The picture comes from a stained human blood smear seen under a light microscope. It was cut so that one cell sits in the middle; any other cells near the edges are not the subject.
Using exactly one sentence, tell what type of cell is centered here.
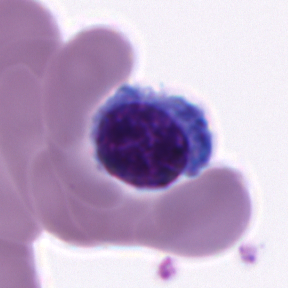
The cell of interest, in the center, is a plasma cell.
